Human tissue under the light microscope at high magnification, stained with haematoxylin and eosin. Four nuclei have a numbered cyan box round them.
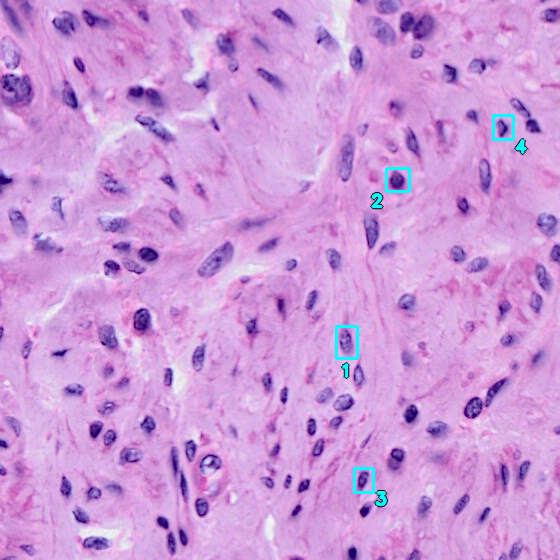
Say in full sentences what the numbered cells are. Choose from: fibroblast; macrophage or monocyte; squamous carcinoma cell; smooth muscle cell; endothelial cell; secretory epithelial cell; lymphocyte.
Cell 1 is a smooth muscle cell, cell 2 is a smooth muscle cell, cell 3 is a fibroblast and cell 4 is a fibroblast.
